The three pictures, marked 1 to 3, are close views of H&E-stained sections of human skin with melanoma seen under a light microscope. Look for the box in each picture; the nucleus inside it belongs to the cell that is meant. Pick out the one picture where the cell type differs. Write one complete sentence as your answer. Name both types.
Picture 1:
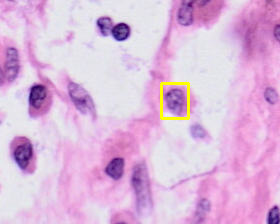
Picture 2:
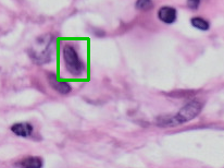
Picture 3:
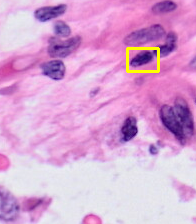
Picture 3 is the odd one out: it shows a lymphocyte, while the others show “macrophages or monocytes”.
